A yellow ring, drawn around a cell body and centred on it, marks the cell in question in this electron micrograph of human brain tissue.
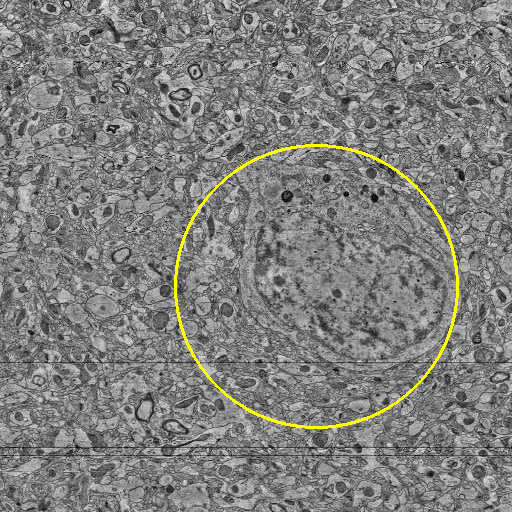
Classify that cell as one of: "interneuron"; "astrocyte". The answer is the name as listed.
interneuron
